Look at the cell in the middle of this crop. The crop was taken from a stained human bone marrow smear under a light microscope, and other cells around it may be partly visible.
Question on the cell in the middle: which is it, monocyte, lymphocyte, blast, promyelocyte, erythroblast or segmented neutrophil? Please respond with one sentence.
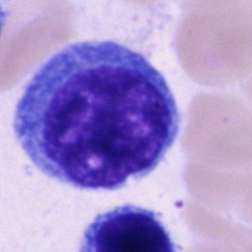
The cell shown in the center of this light-microscope crop is a blast.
